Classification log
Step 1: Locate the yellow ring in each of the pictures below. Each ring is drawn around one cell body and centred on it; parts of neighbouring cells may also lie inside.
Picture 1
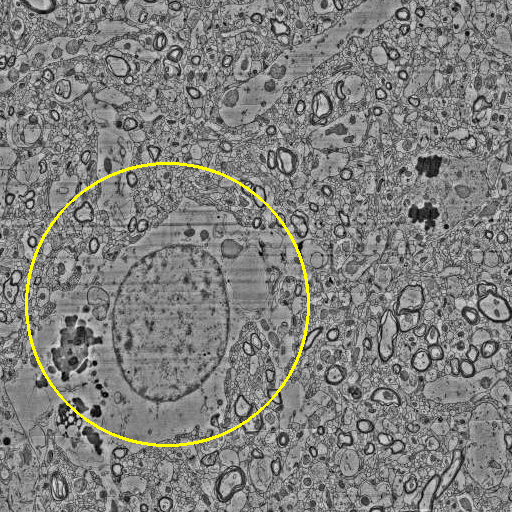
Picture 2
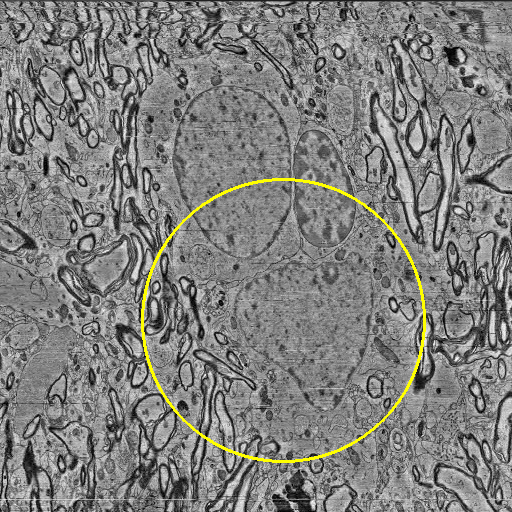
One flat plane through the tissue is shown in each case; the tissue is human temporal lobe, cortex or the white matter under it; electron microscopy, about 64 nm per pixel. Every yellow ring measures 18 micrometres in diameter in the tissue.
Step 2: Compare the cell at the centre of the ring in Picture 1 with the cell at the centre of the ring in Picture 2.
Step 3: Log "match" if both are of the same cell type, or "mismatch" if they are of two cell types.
match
